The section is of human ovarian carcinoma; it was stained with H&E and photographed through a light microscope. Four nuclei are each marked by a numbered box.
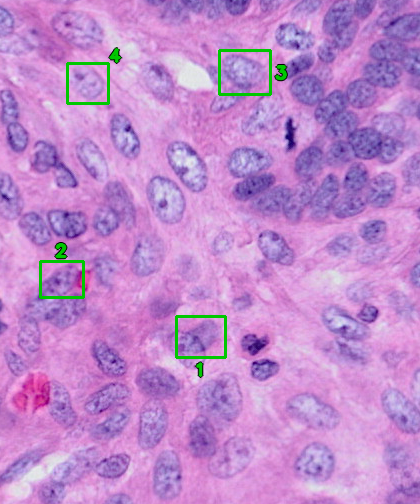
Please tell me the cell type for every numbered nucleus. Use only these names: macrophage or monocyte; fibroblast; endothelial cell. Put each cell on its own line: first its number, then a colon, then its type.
1: fibroblast
2: endothelial cell
3: fibroblast
4: fibroblast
